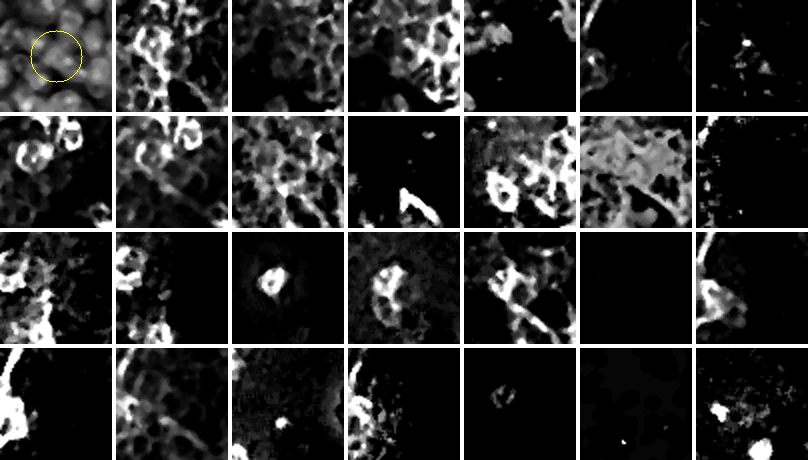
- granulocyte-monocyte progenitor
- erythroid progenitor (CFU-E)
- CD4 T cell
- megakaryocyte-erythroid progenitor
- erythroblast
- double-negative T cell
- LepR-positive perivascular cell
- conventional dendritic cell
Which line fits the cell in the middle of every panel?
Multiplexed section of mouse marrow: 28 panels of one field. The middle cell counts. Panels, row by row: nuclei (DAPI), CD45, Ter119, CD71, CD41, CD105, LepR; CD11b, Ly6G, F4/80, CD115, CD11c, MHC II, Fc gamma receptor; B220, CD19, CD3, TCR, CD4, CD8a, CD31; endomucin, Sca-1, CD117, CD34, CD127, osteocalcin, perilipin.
conventional dendritic cell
